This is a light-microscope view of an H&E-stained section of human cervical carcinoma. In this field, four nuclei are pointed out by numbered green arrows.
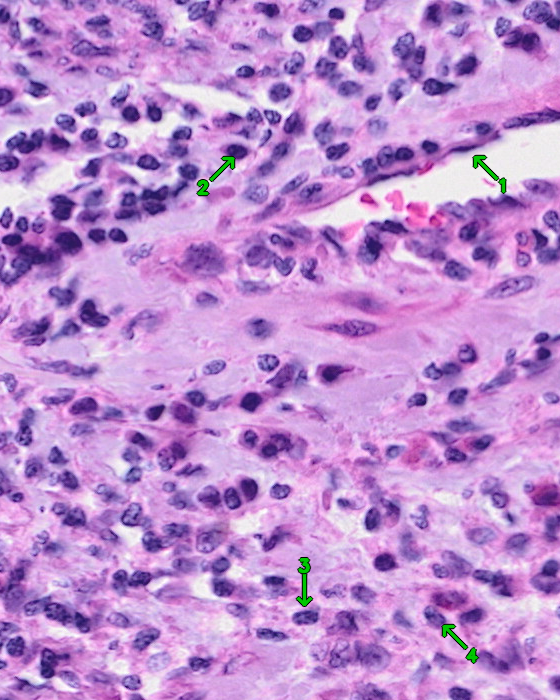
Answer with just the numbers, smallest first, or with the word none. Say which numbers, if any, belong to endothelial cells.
1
